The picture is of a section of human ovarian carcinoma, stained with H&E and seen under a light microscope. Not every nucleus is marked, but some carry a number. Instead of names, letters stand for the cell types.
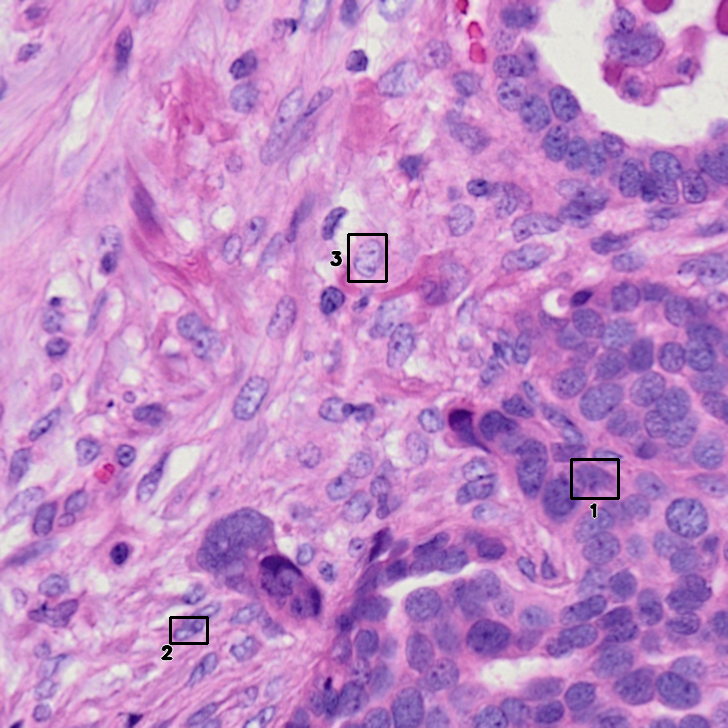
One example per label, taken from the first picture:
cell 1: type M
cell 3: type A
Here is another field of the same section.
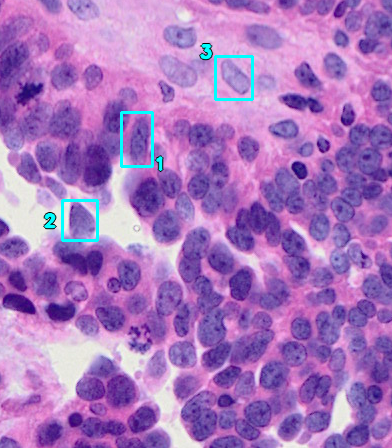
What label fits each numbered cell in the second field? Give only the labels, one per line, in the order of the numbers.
type M
type M
type A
